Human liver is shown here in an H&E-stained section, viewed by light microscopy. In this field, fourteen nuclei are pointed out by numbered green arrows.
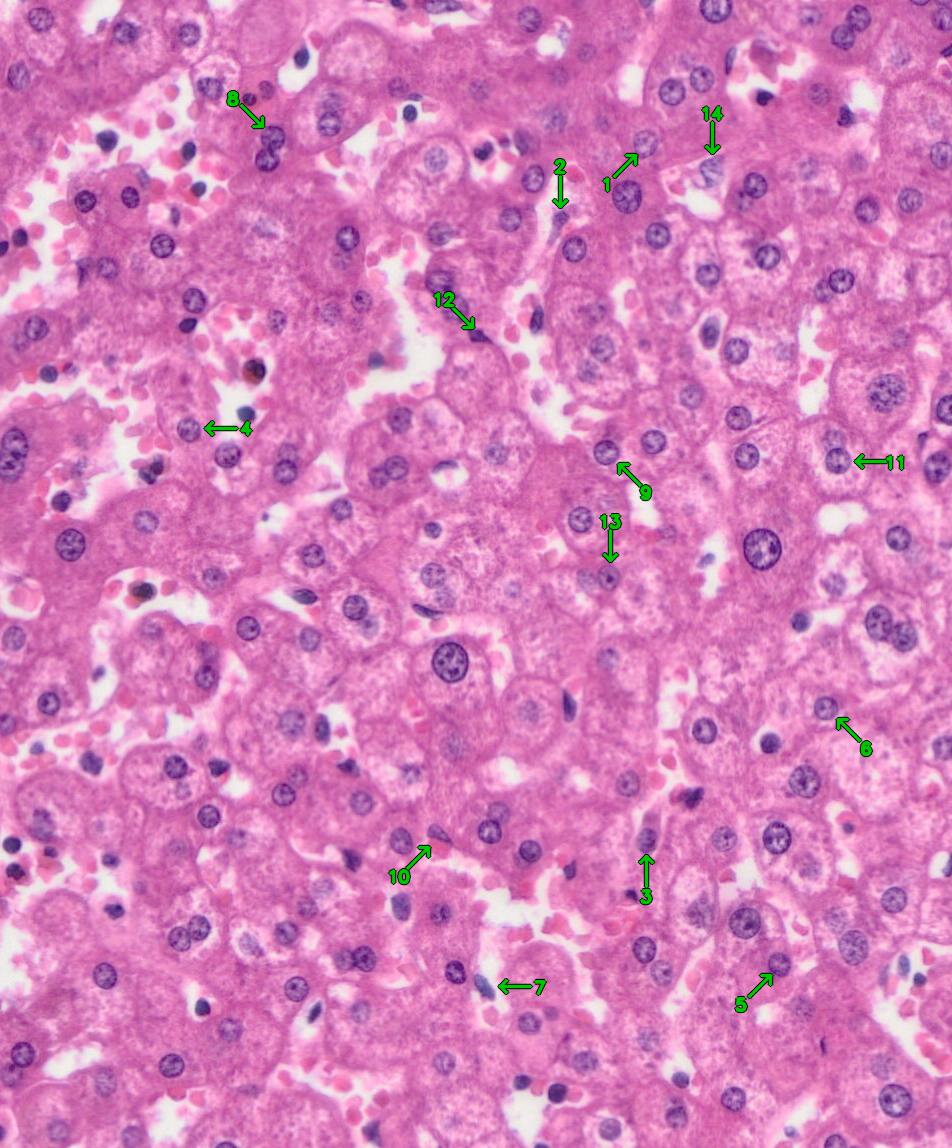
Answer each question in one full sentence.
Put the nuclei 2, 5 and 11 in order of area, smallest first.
By area, going up from the smallest, they rank 2, 5, 11.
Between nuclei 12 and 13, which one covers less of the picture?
Number 12 is smaller, since number 13 takes up about 2 times as much area.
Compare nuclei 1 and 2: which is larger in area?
Nucleus 1 covers more area, about 2.5 times as much as nucleus 2.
